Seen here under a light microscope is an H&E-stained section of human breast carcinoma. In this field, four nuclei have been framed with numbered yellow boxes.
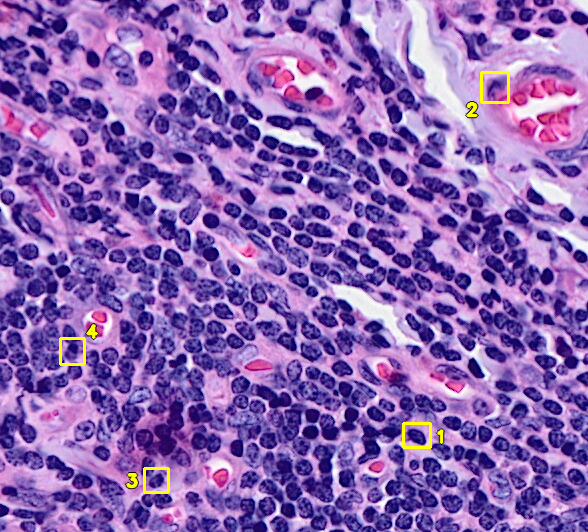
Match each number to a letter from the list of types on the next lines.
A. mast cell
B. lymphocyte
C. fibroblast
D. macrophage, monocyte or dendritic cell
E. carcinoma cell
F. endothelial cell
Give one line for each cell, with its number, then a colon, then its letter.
1: B
2: F
3: B
4: B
